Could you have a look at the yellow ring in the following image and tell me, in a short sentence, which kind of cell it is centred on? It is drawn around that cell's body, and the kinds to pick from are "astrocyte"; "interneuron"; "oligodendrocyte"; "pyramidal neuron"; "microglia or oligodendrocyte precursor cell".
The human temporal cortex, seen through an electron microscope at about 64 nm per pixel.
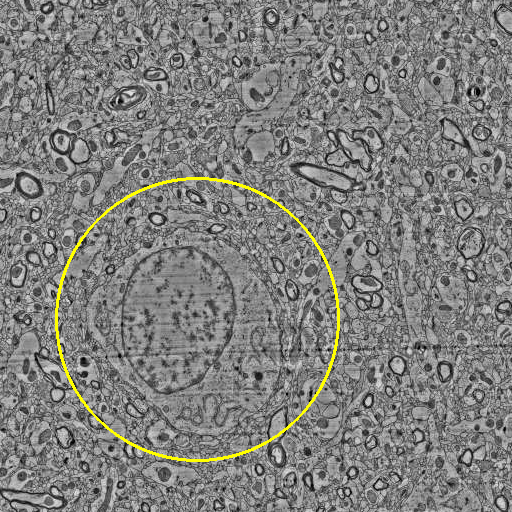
The ring is centred on the body of a pyramidal neuron.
